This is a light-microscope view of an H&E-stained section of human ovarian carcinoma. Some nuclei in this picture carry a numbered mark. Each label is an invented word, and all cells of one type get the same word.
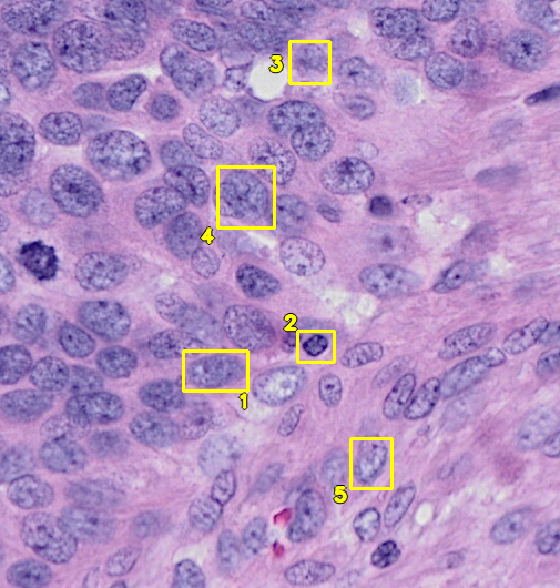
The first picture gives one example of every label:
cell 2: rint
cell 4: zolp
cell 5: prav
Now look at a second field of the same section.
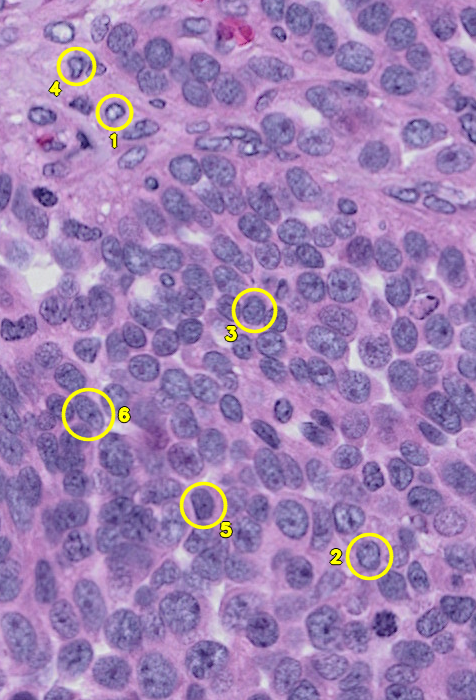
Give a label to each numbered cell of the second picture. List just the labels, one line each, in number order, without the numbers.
prav
zolp
zolp
prav
zolp
zolp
